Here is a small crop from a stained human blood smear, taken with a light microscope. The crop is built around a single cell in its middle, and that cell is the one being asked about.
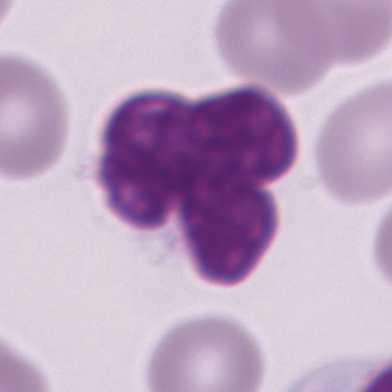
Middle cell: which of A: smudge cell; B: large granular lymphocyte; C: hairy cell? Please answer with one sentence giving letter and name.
Option A gives the correct identity of the central cell, namely a smudge cell.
